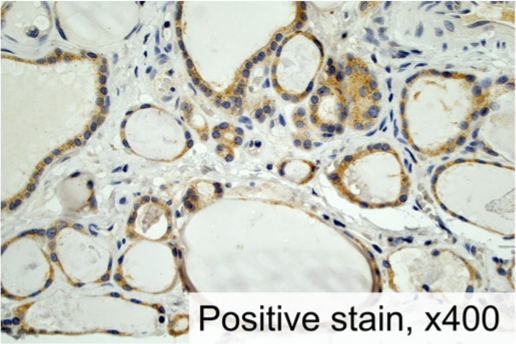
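Normal thyroid tissue made up of round follicles of varying size, each lined by a single layer of flattened to cuboidal follicular epithelial cells around pale, homogeneous colloid. The lining cells have small round blue nuclei and cytoplasm that carries a brown granular stain, strongest along the cell layer and in a few small clusters of cells. Some colloid contains pale vacuoles and scattered debris. Between the follicles lies a thin, loose fibrous stroma with elongated spindle-shaped nuclei of stromal and endothelial cells. The overall architecture is orderly, with follicles separated by narrow connective tissue.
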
